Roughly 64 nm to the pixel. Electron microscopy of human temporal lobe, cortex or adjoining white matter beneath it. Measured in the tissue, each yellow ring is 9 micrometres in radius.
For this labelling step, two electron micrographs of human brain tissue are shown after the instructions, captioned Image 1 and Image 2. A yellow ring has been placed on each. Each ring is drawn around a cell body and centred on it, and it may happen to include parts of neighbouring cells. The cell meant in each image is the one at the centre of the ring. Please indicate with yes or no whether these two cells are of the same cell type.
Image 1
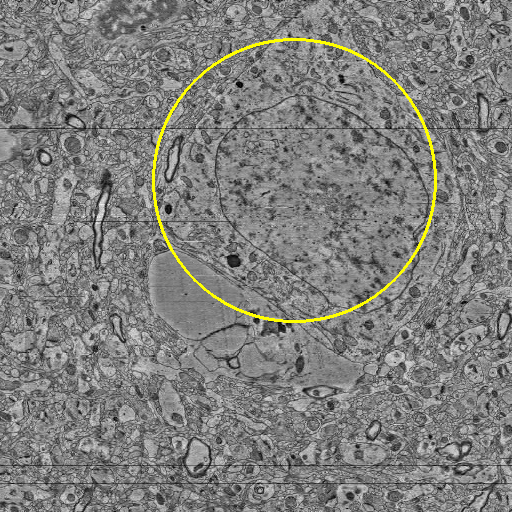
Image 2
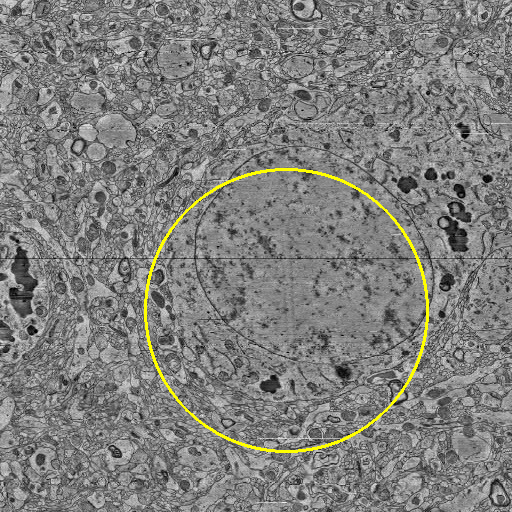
yes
